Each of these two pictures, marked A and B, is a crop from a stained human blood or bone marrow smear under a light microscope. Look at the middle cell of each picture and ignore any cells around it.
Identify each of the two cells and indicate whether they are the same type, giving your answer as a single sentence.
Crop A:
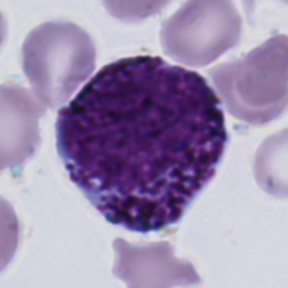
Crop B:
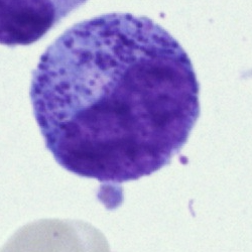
No, the cell in crop A is a basophil and the one in crop B is a promyelocyte.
